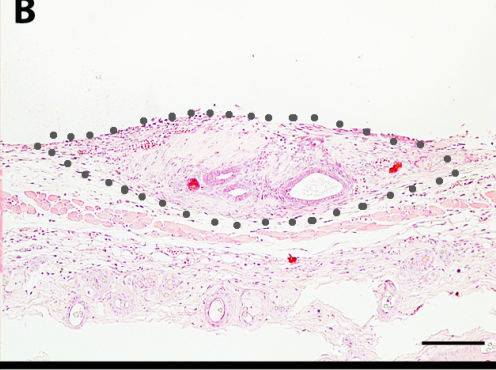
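Here a flatter endometriotic lesion sits in the superficial tissue, outlined by the dotted line, with endometrial glands surrounded by stromal tissue. Several rounded glands with open lumina lined by thin epithelium lie in its centre, the largest an empty oval space. Around them lies pale, loosely arranged stroma with scattered nuclei, and small red blood deposits are seen at the edges. Below the lesion run pink bands of muscle fibres, and deeper still loose connective tissue containing several small round vessel cross sections.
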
